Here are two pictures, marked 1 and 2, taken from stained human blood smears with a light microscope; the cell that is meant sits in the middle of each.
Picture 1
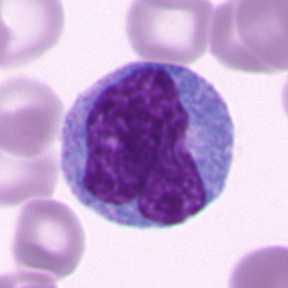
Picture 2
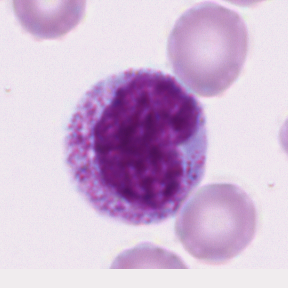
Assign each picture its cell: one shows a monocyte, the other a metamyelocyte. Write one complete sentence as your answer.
Picture 2 shows a metamyelocyte, while picture 1 shows a monocyte.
